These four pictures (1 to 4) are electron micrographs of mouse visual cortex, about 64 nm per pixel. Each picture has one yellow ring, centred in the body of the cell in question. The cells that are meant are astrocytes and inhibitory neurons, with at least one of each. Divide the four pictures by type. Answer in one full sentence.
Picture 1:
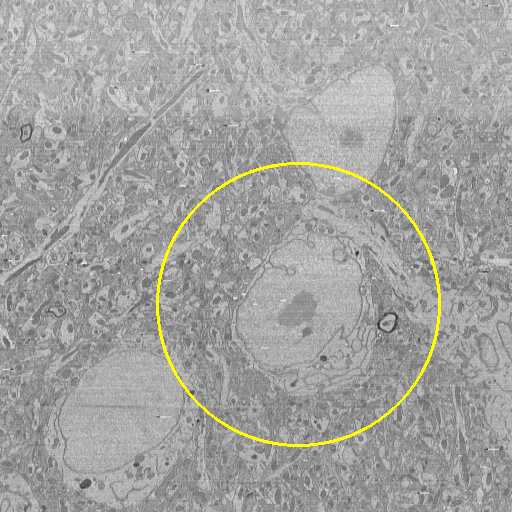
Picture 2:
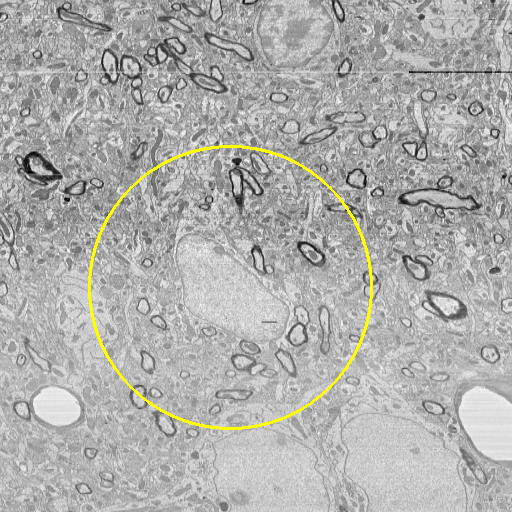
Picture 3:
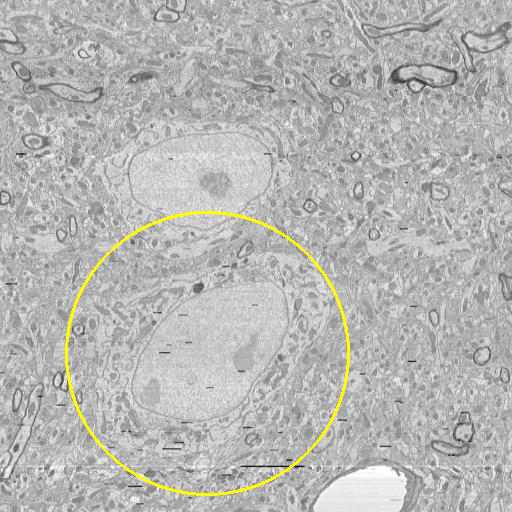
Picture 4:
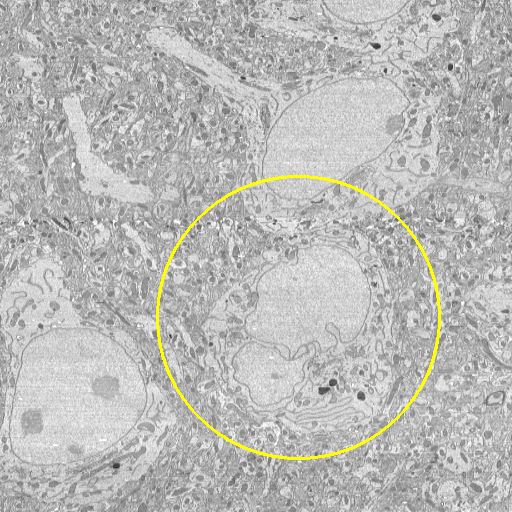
Picture 2 shows an astrocyte, and pictures 1, 3 and 4 show inhibitory neurons.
